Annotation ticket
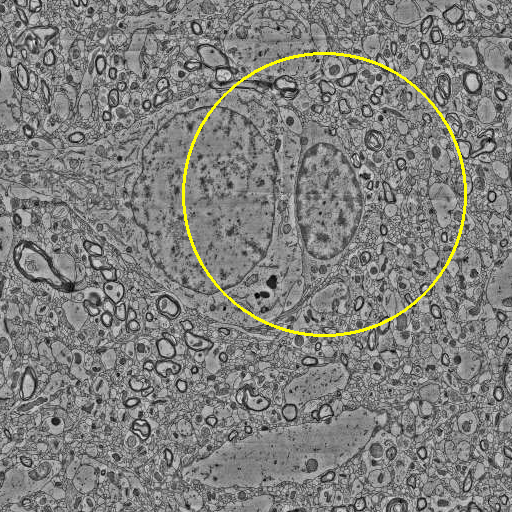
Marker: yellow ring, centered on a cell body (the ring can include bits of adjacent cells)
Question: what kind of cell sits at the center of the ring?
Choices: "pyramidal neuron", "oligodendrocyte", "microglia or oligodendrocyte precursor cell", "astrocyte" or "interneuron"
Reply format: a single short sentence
The ring is centered on an oligodendrocyte.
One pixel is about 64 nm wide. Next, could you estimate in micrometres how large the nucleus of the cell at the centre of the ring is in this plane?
In this plane, approximately 7 by 4 micrometers, and clearly longer than it is wide.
